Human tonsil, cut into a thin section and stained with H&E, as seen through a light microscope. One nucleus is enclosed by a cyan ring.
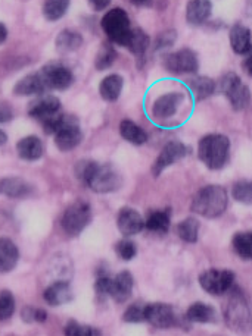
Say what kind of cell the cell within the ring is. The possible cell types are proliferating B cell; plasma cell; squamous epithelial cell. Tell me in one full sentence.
In short, the cell within the ring on this section is a proliferating B cell.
